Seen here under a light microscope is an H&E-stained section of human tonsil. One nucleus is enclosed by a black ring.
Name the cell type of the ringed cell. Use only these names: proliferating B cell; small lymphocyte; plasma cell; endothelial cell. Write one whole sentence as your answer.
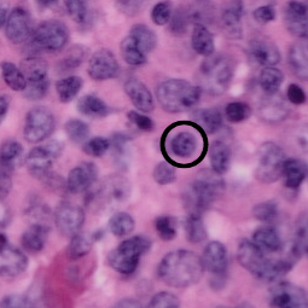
In cell-type terms, the ringed cell is a proliferating B cell.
